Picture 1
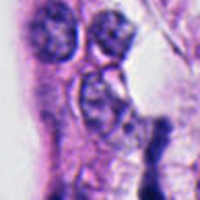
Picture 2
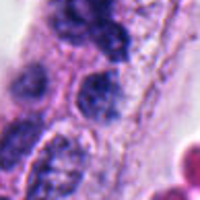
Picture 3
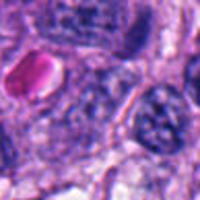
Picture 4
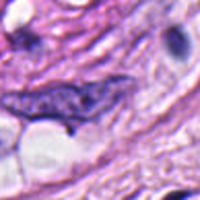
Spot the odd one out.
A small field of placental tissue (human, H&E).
Picture 4 (a vascular myocyte among cytotrophoblasts).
